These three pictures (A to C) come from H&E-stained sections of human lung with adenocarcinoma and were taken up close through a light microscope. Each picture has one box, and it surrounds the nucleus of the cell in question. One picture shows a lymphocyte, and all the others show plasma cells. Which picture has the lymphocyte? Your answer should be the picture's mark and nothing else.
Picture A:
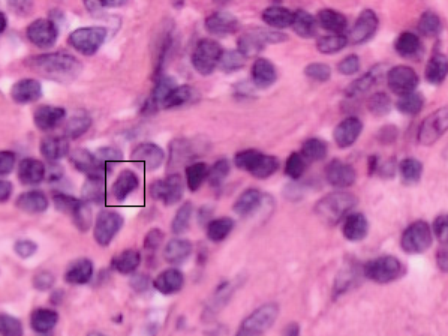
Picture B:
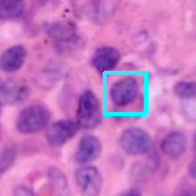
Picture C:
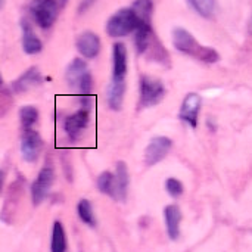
A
